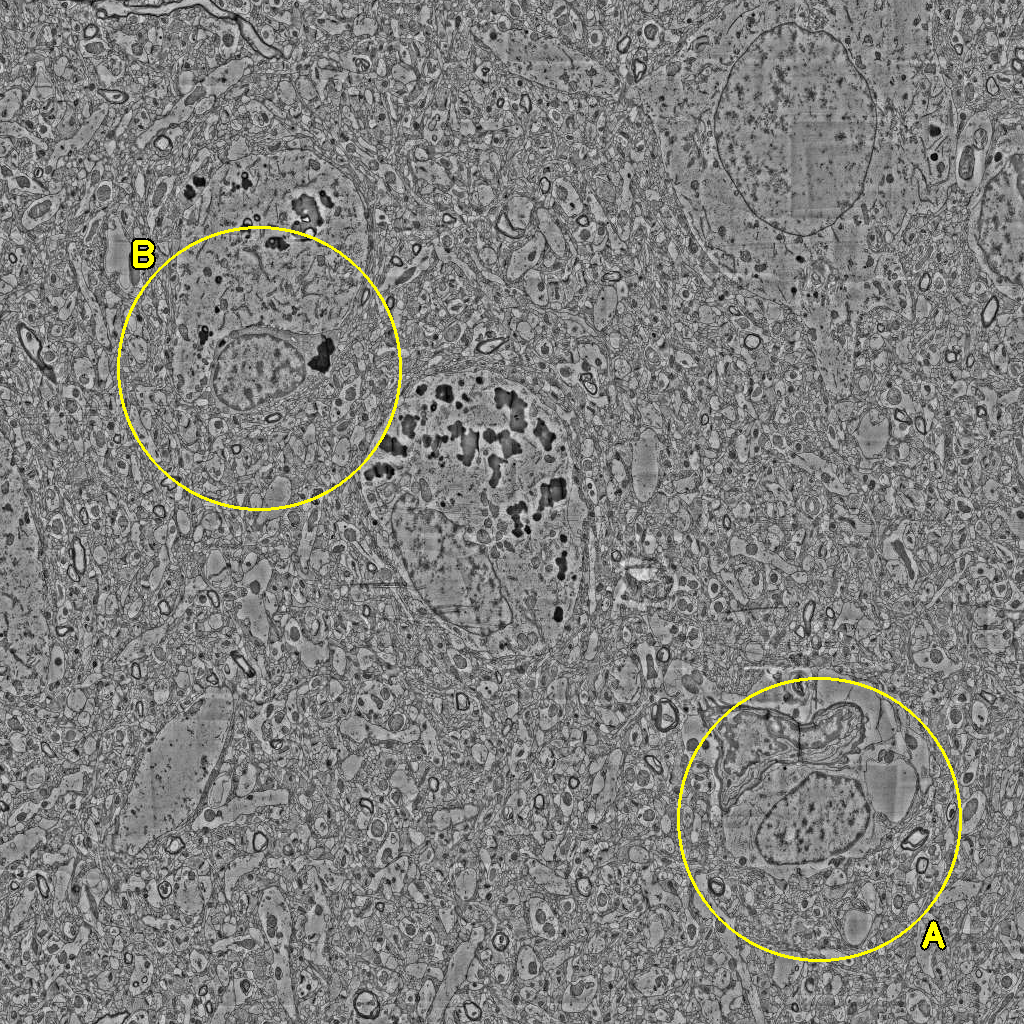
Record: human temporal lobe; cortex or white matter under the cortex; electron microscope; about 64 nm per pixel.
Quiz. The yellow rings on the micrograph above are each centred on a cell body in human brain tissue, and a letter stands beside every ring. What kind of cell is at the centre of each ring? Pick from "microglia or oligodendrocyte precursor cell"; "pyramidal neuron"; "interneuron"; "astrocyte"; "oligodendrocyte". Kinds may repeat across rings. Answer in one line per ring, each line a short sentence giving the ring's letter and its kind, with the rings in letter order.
The ring labelled A has a microglial cell or oligodendrocyte precursor cell at its centre.
The ring labelled B has an oligodendrocyte at its centre.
